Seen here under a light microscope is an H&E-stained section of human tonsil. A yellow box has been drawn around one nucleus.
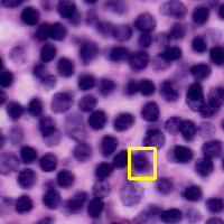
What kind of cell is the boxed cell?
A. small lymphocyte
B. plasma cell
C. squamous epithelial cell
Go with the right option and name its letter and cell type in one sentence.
Option A wins here: the boxed cell is a small lymphocyte.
